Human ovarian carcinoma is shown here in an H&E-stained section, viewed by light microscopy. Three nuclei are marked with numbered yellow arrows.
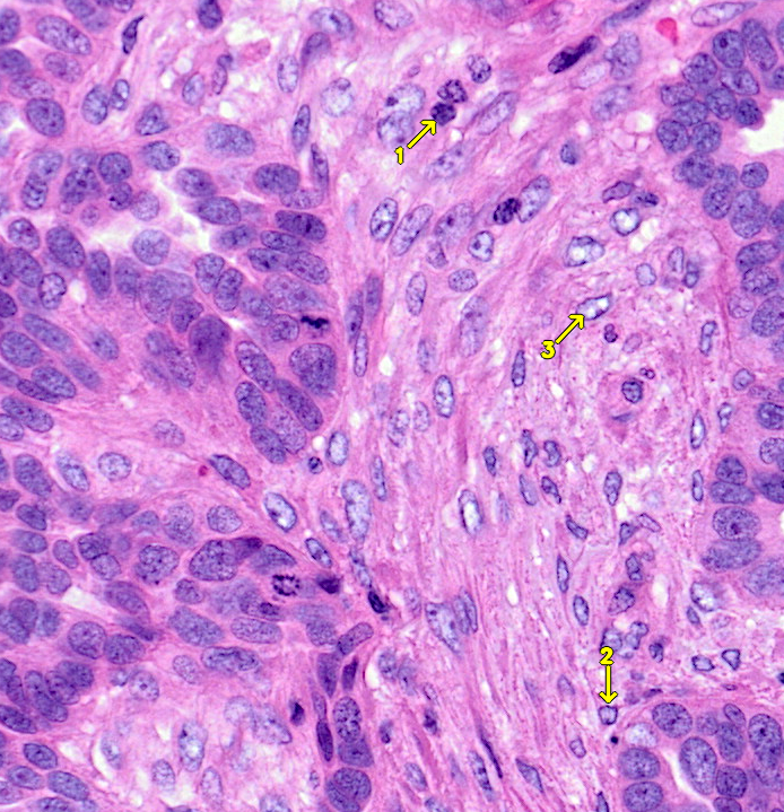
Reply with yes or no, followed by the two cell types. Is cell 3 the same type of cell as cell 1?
No, cell 3 is a fibroblast, and cell 1 is, by contrast, a lymphocyte.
